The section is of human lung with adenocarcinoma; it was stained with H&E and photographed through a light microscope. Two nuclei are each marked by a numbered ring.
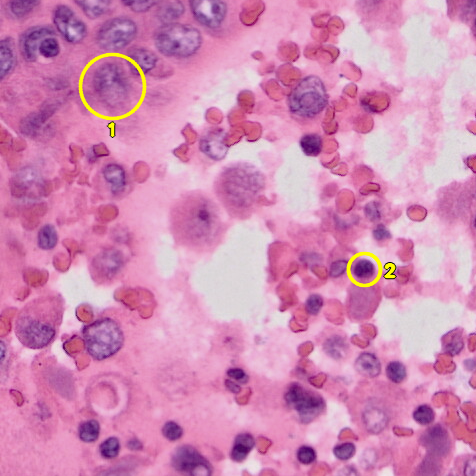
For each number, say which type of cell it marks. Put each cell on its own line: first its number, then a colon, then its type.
1: carcinoma cell
2: lymphocyte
